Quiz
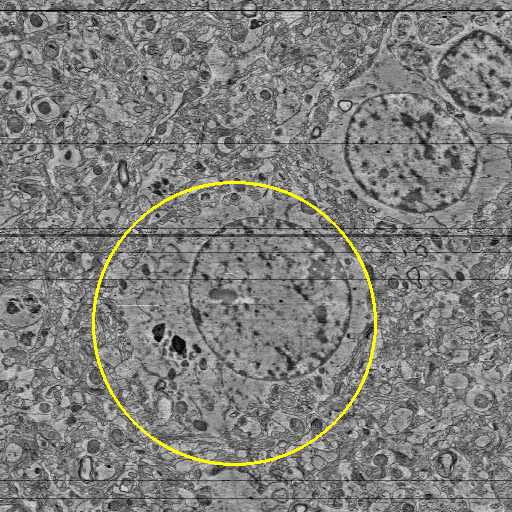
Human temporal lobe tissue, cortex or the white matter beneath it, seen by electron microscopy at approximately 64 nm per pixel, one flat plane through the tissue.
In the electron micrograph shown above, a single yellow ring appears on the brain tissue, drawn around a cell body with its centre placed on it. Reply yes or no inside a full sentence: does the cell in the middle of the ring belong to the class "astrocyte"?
Yes, the cell at the centre of the ring in the picture belongs to that class.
